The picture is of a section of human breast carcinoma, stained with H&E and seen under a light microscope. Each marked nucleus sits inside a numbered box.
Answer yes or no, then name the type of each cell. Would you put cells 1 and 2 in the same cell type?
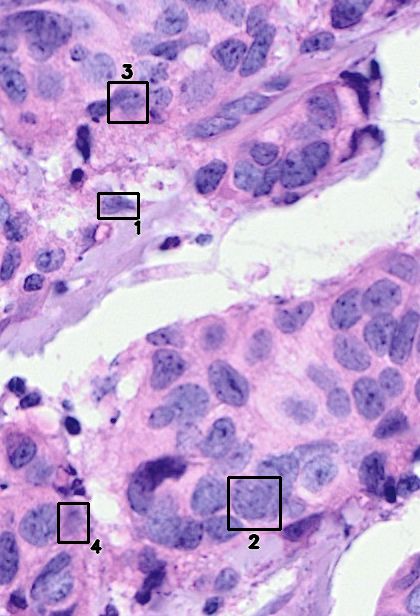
No, as for cell 1, it is a fibroblast, and cell 2 is a carcinoma cell.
